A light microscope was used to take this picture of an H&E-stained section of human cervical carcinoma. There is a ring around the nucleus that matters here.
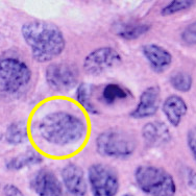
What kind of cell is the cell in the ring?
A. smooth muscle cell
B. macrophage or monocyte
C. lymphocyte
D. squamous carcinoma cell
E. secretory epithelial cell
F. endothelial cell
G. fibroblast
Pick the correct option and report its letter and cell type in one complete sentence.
Option D gets it right: the cell in the ring is a squamous carcinoma cell.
